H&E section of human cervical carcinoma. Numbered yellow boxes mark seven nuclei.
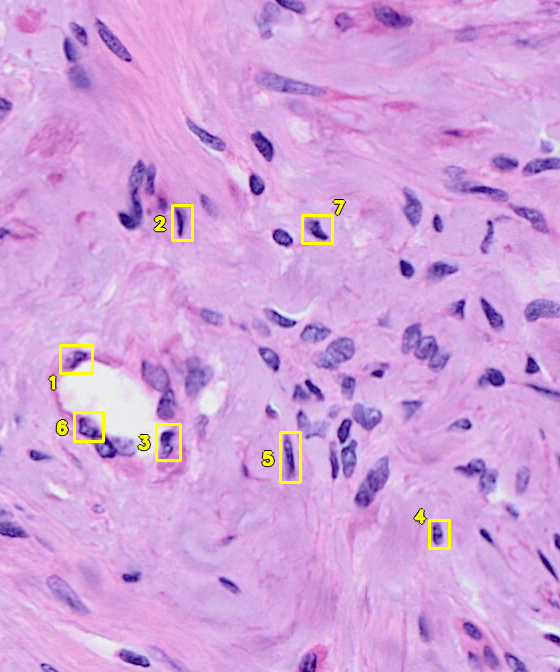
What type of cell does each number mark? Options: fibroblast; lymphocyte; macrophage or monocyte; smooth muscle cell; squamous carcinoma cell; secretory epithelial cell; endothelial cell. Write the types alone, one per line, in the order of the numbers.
endothelial cell
fibroblast
endothelial cell
fibroblast
fibroblast
endothelial cell
fibroblast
